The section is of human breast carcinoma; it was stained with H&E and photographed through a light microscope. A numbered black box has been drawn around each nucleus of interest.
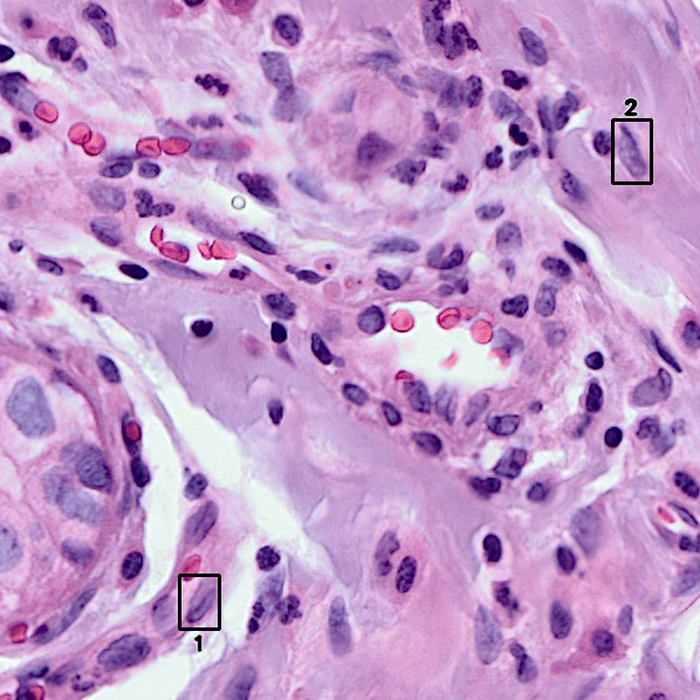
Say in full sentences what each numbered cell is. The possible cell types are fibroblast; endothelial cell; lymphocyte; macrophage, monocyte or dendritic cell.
Cell 1 is an endothelial cell. Cell 2 is a fibroblast.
